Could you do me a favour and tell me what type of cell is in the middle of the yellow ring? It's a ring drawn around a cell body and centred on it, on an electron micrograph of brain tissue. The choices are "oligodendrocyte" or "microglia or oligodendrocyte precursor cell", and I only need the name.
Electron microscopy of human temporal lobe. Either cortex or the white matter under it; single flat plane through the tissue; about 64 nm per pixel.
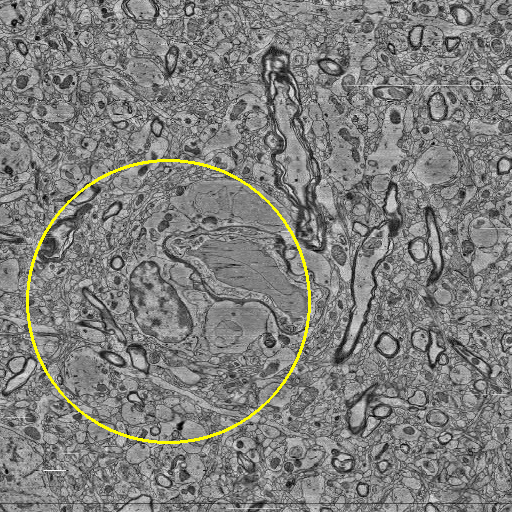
microglia or oligodendrocyte precursor cell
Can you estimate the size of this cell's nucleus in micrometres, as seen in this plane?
In this plane the nucleus measures about 6 by 3 micrometres and is clearly longer than it is wide.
